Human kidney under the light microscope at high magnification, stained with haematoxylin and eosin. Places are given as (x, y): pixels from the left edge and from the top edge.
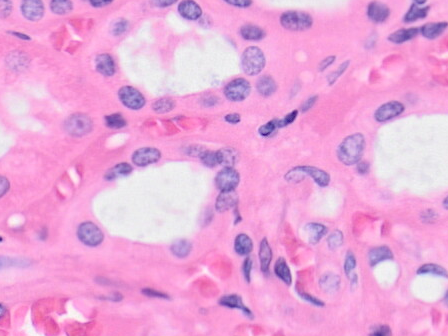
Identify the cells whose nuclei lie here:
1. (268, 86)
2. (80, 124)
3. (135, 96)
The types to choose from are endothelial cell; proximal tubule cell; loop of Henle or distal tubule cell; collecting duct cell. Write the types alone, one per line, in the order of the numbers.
collecting duct cell
proximal tubule cell
loop of Henle or distal tubule cell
